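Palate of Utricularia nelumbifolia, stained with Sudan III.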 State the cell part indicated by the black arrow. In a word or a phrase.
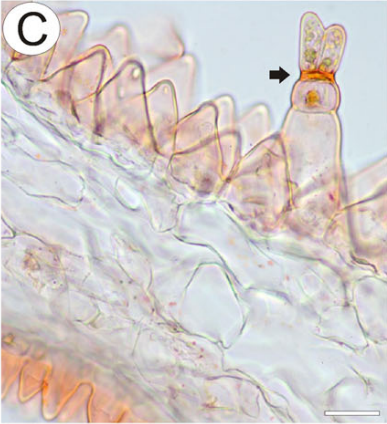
Lateral cell walls of central cell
